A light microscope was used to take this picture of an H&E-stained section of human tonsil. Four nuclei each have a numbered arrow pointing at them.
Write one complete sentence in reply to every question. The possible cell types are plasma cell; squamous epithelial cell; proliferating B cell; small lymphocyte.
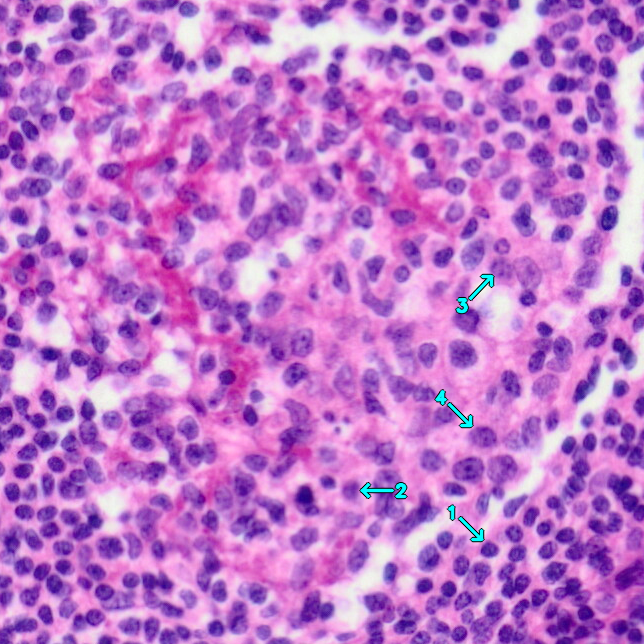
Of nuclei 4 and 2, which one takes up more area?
At about 2.5 times the area of nucleus 2, nucleus 4 is the larger of the two.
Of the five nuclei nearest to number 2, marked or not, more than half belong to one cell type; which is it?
Around number 2, most of the five nearest nuclei are those of proliferating B cells.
